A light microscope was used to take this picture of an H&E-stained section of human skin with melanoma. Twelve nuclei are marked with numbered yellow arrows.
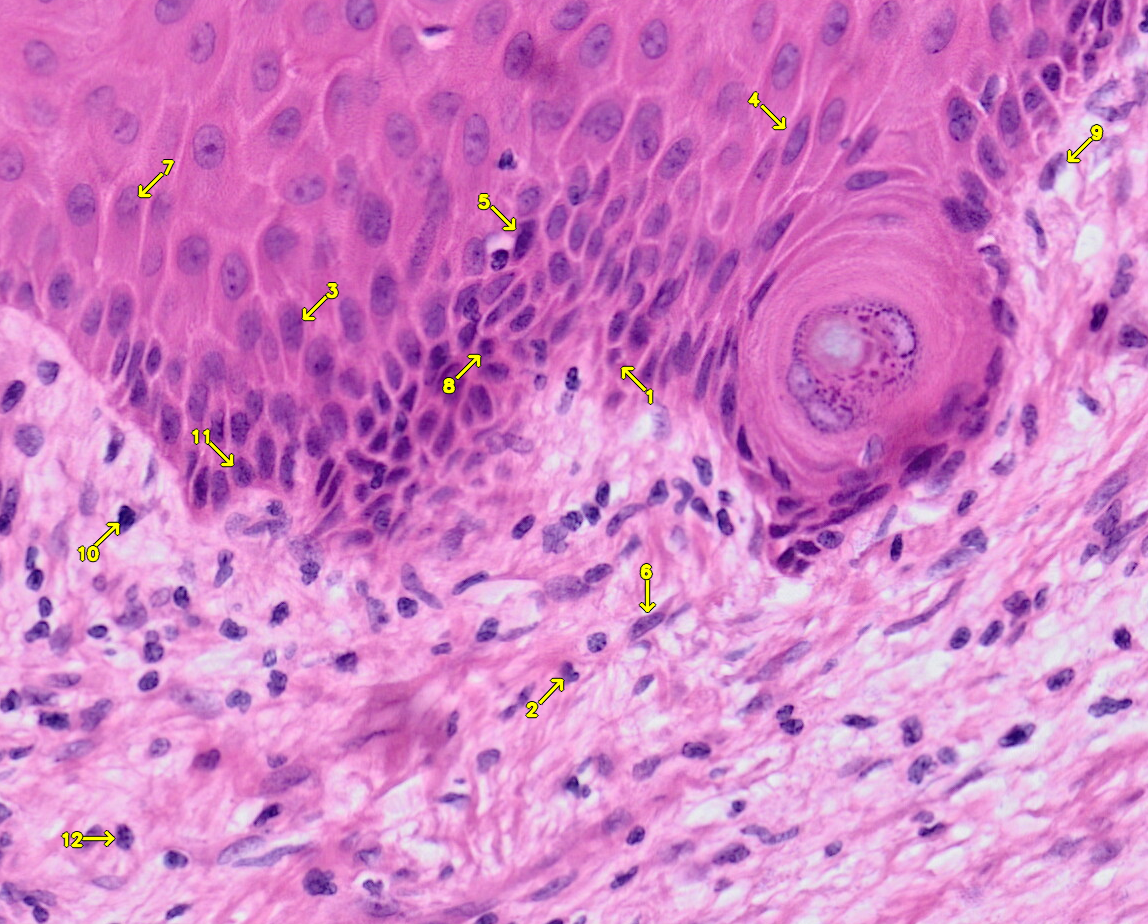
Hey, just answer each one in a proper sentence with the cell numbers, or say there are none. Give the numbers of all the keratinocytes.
Into the category of keratinocytes fall the cells numbered 1, 3, 4, 5, 7, 8 and 11.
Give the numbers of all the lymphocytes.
Classified as lymphocytes are the cells numbered 2, 10 and 12.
